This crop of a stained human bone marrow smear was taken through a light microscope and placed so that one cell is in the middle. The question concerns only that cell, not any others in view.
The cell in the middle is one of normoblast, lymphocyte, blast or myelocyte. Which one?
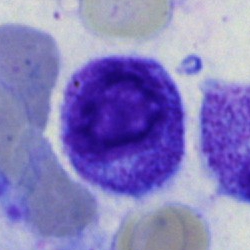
myelocyte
